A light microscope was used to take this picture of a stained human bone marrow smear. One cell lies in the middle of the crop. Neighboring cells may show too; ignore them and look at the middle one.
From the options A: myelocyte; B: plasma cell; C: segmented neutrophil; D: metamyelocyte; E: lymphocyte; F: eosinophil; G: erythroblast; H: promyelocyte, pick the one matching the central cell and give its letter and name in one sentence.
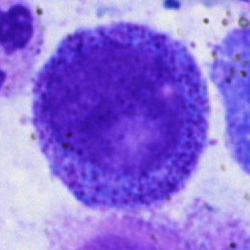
The correct identification, given in option H, is that the central cell is a promyelocyte.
